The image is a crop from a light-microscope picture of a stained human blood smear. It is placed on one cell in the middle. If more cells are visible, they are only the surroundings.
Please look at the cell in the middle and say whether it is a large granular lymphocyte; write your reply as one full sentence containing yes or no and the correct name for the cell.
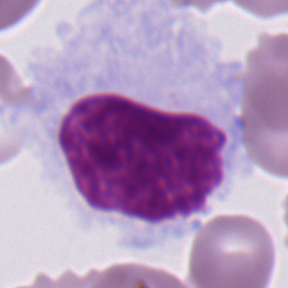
No, the cell placed at the center is a hairy cell rather than a large granular lymphocyte.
